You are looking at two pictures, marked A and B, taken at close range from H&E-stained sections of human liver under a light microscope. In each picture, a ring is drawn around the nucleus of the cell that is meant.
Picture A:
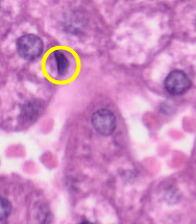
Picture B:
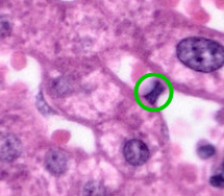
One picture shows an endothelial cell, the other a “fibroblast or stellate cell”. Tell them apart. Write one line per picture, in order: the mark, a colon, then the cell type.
A: fibroblast or stellate cell
B: endothelial cell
